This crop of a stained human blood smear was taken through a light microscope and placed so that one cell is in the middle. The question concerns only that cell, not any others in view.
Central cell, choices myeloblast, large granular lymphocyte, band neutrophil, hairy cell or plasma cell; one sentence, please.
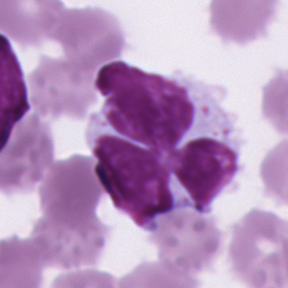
The central cell, amid any neighbouring cells, is a large granular lymphocyte.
